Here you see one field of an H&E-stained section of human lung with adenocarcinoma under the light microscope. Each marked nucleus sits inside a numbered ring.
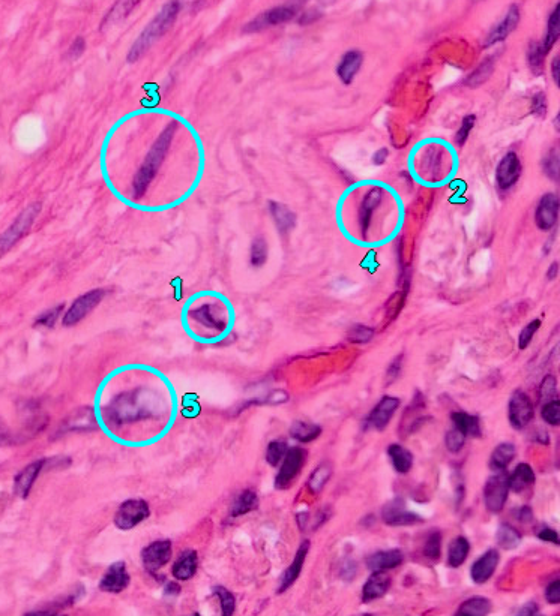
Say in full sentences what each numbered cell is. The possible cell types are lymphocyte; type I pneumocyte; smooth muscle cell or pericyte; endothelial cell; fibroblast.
Cell 1 is a fibroblast, cell 2 is an endothelial cell, cell 3 is a smooth muscle cell or pericyte, cell 4 is an endothelial cell and cell 5 is an endothelial cell.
